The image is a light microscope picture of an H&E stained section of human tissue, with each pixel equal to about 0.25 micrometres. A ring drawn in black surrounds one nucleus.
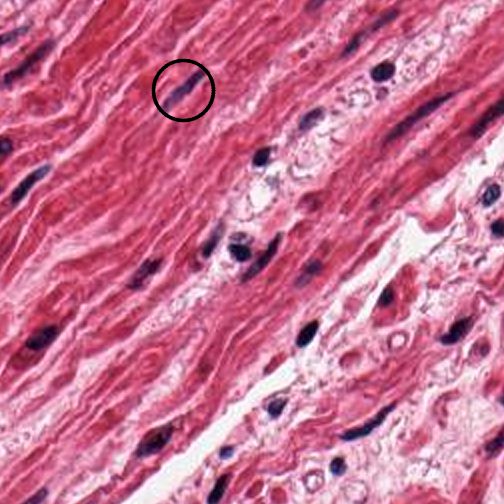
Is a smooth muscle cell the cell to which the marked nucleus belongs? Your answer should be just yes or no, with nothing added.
yes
